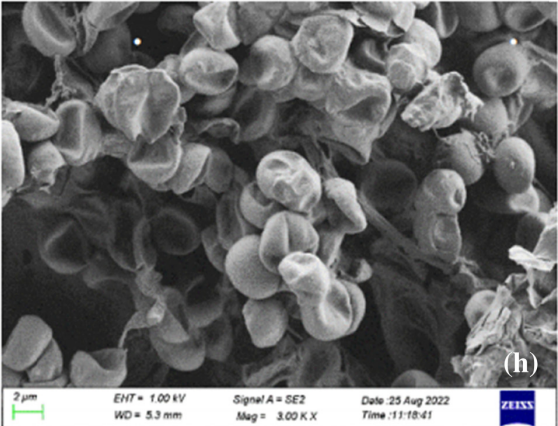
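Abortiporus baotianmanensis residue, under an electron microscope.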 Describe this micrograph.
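The spores are small, rounded to broadly ellipsoid bodies of fairly uniform size, each a few micrometres across. Their walls look smooth, without spines or ridges. Many of the spores have collapsed or caved in on one side, giving them a cupped or folded outline. The spores lie piled on and against each other. Toward the right edge, thin, crumpled, sheet-like debris lies among them.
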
